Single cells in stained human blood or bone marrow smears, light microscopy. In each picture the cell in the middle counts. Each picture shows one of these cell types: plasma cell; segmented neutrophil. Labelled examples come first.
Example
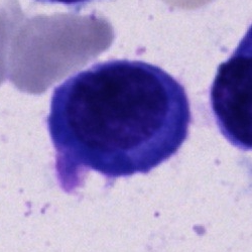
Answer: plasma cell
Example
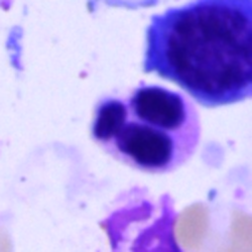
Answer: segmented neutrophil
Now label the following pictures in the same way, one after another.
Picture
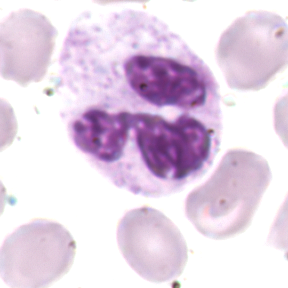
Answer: segmented neutrophil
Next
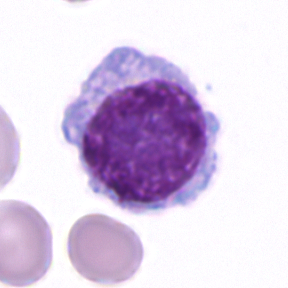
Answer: plasma cell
